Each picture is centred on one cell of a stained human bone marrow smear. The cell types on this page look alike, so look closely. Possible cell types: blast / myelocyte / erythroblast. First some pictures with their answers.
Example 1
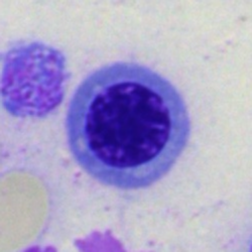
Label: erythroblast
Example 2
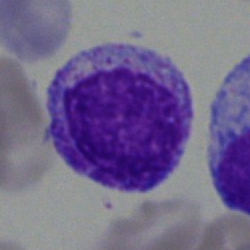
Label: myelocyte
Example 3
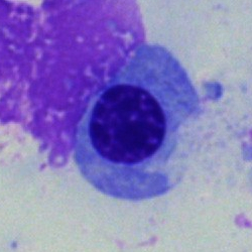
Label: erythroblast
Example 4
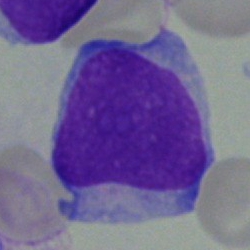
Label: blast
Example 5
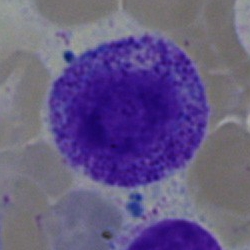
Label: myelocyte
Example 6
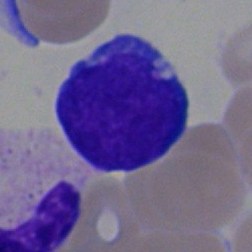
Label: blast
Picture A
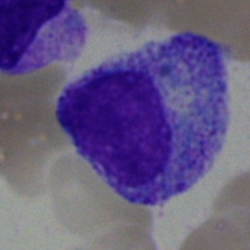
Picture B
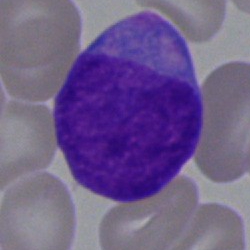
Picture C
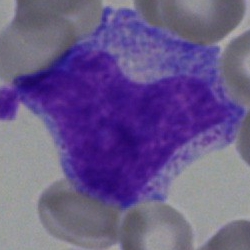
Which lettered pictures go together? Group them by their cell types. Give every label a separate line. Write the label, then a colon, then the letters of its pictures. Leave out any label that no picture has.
blast: B
myelocyte: A, C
